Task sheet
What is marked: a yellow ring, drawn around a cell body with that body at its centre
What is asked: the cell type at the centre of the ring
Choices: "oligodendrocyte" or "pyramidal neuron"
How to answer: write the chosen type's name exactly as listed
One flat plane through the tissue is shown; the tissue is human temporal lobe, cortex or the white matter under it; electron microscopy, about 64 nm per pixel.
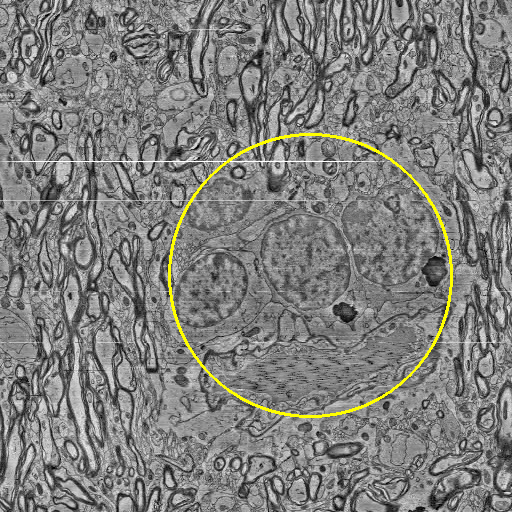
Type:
oligodendrocyte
